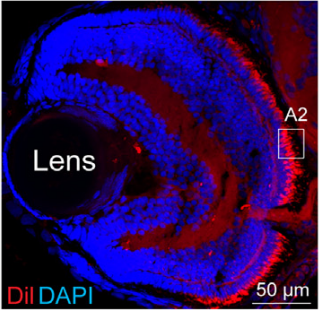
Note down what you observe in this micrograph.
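Blue nuclei are packed into several concentric layers, separated by bands of red that follow the same curve. Just inside it lies a tightly packed row of blue photoreceptor nuclei. Closer to the lens, the inner layers of nuclei and the red bands between them make the characteristic stratified look of the retina.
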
